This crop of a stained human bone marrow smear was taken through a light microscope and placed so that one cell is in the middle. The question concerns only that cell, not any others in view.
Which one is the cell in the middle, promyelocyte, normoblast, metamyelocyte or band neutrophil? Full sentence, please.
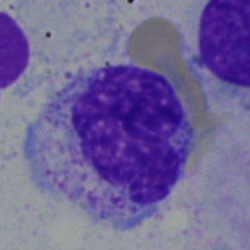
Within this crop, a metamyelocyte occupies the central position.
